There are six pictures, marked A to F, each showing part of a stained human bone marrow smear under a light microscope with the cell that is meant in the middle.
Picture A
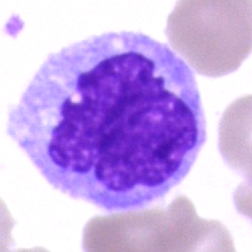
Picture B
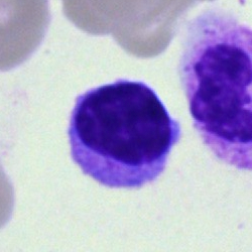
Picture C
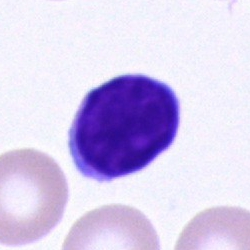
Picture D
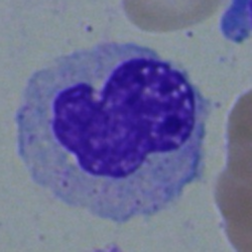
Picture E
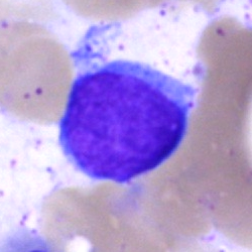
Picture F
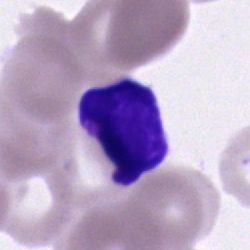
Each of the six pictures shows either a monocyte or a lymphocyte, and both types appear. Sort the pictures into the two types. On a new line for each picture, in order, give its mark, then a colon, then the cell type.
A: monocyte
B: lymphocyte
C: lymphocyte
D: monocyte
E: lymphocyte
F: lymphocyte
